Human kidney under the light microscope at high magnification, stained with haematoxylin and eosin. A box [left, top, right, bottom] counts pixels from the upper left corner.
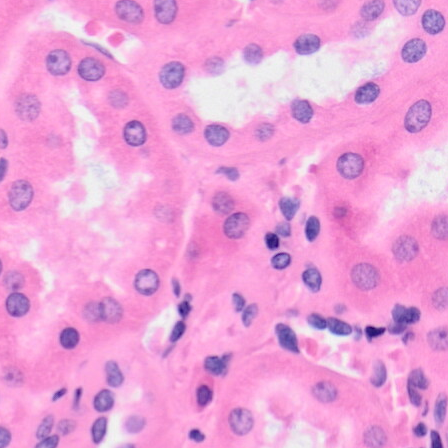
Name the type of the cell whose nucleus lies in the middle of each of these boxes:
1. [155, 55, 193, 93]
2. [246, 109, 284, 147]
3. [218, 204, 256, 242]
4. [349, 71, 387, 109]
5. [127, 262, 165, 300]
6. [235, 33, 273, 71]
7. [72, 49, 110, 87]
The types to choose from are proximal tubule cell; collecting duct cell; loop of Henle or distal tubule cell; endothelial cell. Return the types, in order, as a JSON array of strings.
["loop of Henle or distal tubule cell", "loop of Henle or distal tubule cell", "proximal tubule cell", "loop of Henle or distal tubule cell", "proximal tubule cell", "loop of Henle or distal tubule cell", "proximal tubule cell"]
